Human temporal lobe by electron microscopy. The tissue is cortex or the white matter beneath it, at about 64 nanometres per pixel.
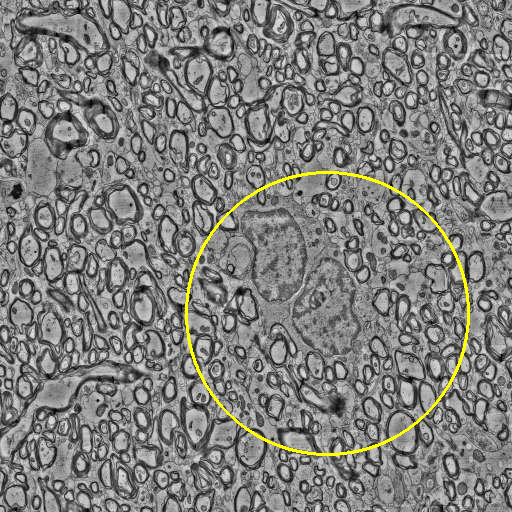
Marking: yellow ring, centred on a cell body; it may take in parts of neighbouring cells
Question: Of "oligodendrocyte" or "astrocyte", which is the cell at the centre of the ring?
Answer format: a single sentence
The ring surrounds the body of an oligodendrocyte.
